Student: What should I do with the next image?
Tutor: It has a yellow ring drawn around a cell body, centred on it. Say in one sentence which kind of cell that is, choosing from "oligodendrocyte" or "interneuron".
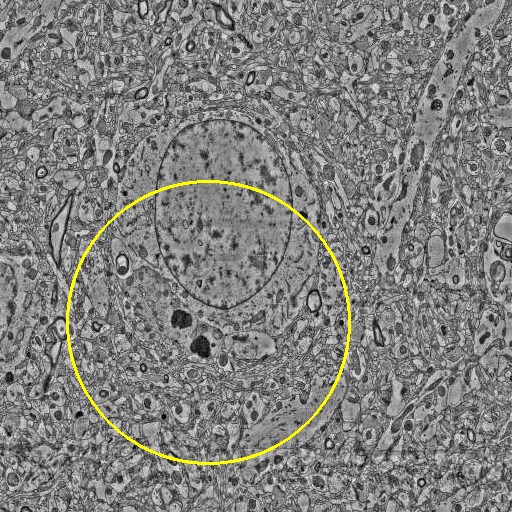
The ring's centre is occupied by an oligodendrocyte.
